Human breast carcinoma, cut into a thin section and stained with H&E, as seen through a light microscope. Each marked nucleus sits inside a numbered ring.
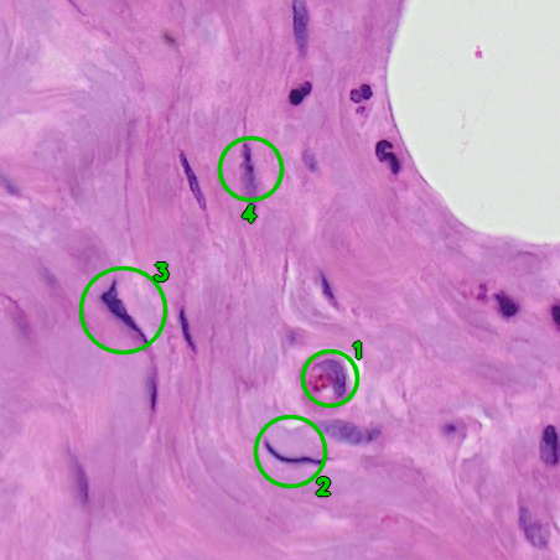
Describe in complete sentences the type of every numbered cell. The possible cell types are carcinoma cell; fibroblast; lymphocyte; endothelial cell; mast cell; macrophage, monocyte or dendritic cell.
Cell 1 is an endothelial cell. Cells 2, 3 and 4 are fibroblasts.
